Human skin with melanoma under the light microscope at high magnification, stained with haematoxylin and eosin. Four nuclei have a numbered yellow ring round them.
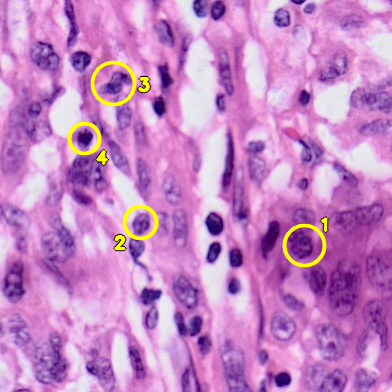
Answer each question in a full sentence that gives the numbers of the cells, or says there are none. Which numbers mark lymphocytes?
The cells tagged with numbers 2, 3 and 4 are lymphocytes.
